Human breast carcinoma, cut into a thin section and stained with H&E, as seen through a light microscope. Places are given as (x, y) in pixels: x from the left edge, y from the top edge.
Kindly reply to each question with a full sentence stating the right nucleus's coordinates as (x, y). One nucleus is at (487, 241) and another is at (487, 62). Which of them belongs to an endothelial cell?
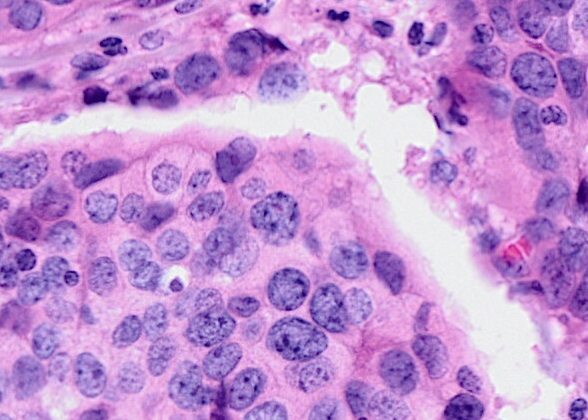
The one at (487, 241) is the nucleus belonging to an endothelial cell, not the other one.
